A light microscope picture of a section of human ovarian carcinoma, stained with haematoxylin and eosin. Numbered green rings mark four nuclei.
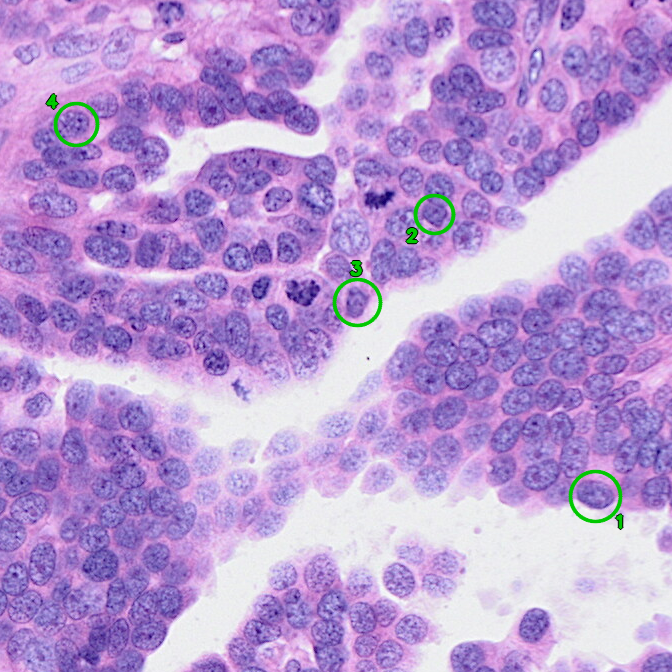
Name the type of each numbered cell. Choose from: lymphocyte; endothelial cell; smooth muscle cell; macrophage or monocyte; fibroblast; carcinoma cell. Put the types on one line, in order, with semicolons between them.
carcinoma cell; carcinoma cell; macrophage or monocyte; carcinoma cell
